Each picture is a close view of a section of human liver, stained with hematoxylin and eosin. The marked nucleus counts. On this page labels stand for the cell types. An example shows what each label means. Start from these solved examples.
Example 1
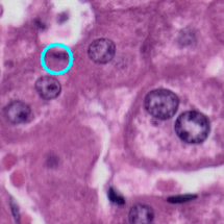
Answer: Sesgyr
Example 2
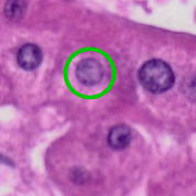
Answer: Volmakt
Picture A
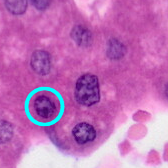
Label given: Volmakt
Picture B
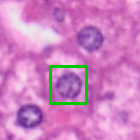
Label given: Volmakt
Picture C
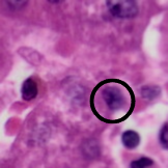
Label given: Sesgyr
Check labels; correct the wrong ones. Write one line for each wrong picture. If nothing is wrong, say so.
No label is wrong.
